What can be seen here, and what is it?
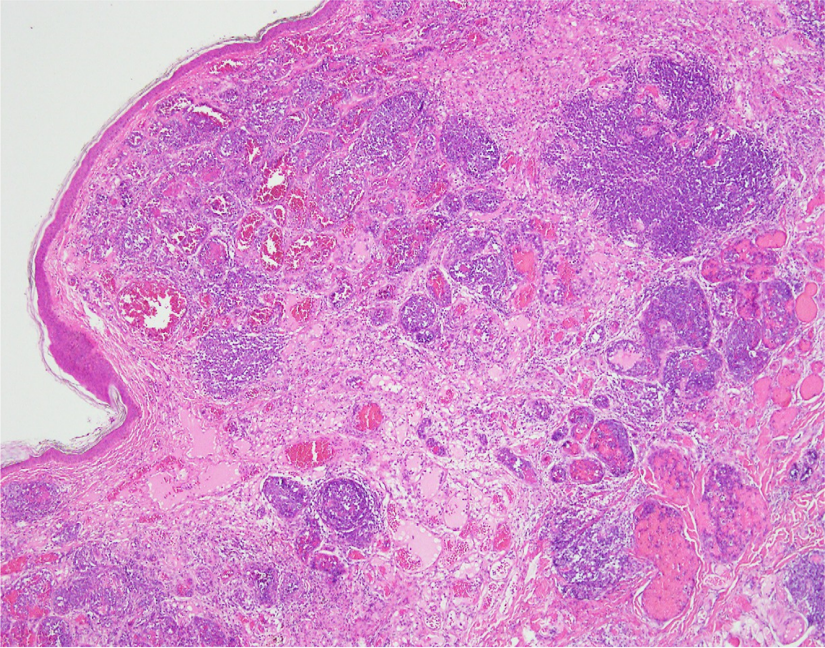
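Skin is seen at low power, with a thin epidermis along the upper left edge and a dermis crowded beneath it. Many dark purple nodules and sheets of densely packed cells fill the dermis. Between them lie dilated vessels filled with red blood and pale pink, loose stroma.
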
